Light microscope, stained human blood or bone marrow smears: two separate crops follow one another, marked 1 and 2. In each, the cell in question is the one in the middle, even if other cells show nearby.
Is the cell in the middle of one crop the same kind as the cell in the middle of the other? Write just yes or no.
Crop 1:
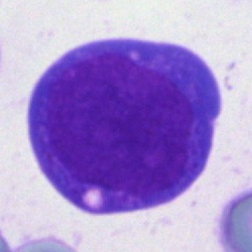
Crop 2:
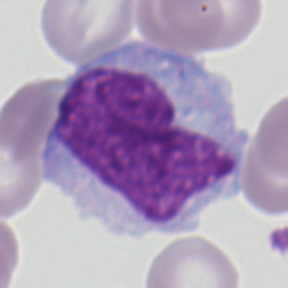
no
